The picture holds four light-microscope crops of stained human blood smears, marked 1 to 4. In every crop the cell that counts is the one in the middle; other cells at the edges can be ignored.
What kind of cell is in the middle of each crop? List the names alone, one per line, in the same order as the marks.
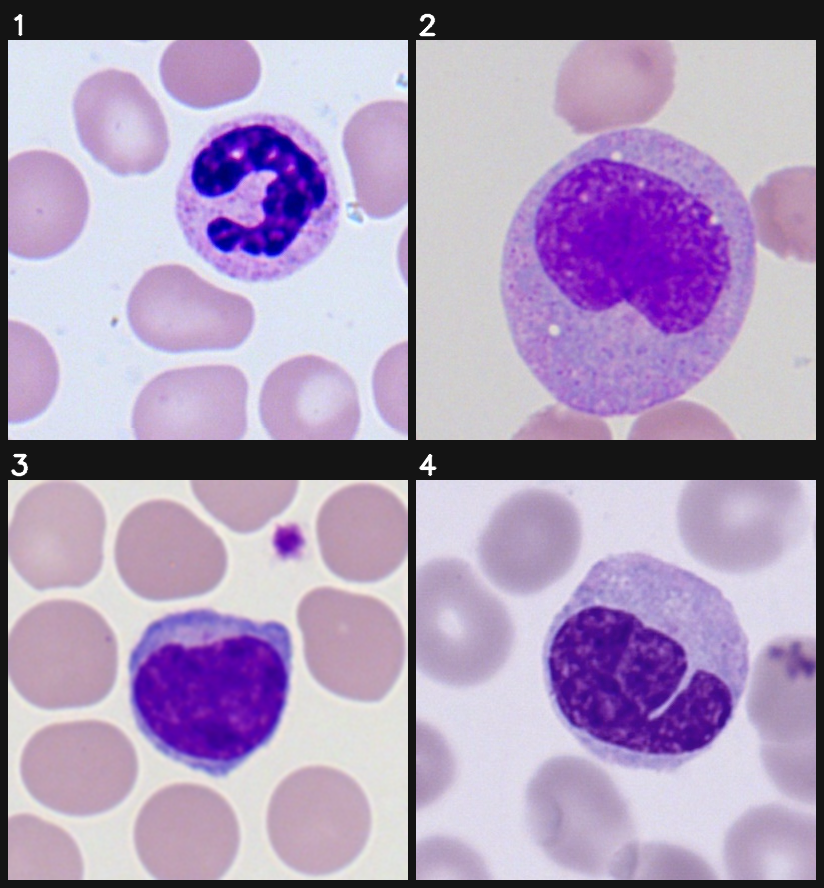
segmented neutrophil
monocyte
lymphocyte
monocyte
